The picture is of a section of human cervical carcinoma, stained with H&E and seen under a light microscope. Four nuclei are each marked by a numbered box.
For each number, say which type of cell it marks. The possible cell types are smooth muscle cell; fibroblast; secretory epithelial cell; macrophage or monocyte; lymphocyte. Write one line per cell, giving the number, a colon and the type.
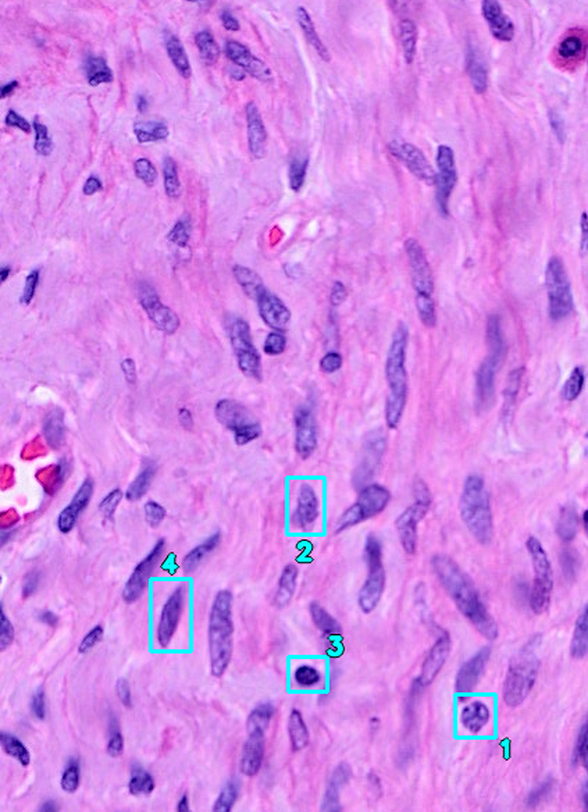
1: lymphocyte
2: smooth muscle cell
3: lymphocyte
4: fibroblast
